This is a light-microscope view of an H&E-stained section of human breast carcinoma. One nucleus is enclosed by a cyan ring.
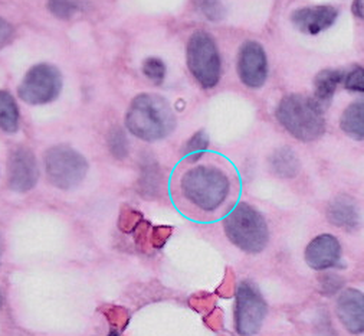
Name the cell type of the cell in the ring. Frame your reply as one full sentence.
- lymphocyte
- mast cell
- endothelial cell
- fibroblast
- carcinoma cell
On this particular slide, the cell in the ring is a carcinoma cell.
